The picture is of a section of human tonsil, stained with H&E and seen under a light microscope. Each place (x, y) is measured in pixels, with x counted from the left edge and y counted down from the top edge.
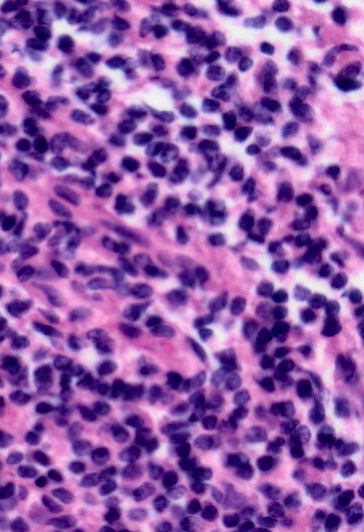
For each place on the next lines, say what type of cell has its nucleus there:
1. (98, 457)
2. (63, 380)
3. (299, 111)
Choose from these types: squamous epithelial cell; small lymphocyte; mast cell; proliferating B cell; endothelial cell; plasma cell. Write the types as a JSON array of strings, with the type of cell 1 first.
["small lymphocyte", "small lymphocyte", "proliferating B cell"]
